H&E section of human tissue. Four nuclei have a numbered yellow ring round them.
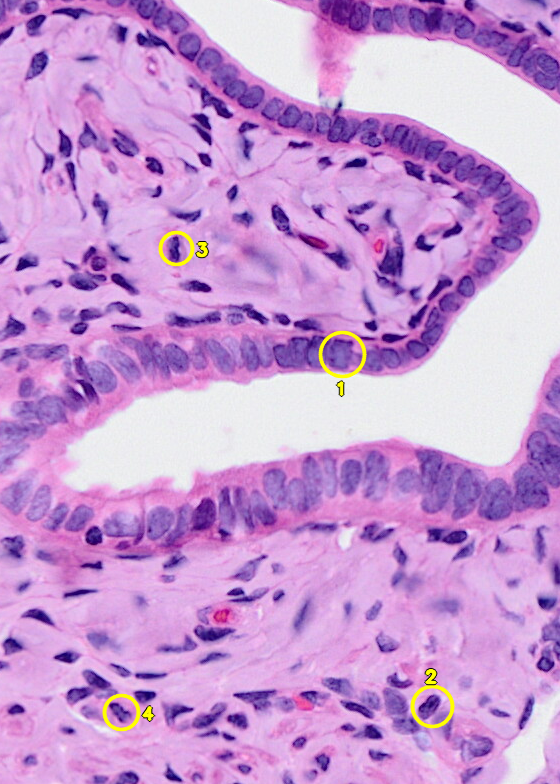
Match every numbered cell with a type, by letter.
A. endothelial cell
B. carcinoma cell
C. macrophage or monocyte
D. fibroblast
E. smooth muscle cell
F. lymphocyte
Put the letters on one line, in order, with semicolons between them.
B; F; A; A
